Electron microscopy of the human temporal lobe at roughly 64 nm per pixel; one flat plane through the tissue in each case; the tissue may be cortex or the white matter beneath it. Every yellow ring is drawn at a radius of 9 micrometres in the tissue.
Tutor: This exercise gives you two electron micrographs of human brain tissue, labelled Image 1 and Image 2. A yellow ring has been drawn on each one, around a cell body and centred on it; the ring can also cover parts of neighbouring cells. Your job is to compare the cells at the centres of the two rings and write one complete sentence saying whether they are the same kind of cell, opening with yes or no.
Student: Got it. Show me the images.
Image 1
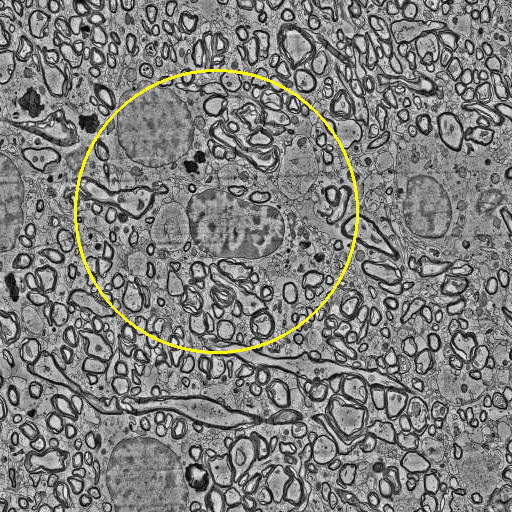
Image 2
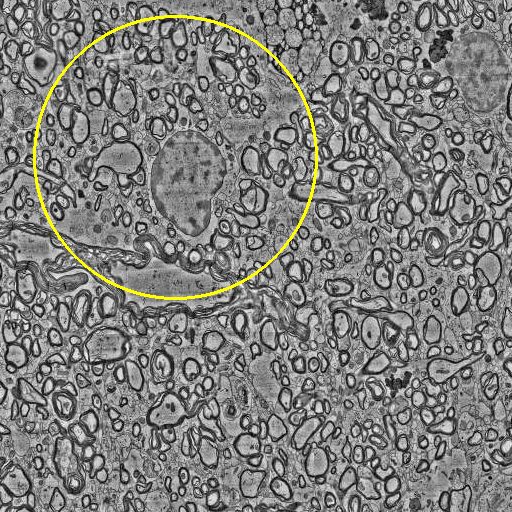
Yes, the two cells belong to the same kind.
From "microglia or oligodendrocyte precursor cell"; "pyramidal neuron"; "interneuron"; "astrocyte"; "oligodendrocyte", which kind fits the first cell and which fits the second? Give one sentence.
The cell at the ring centre is a microglial cell or oligodendrocyte precursor cell in both pictures.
